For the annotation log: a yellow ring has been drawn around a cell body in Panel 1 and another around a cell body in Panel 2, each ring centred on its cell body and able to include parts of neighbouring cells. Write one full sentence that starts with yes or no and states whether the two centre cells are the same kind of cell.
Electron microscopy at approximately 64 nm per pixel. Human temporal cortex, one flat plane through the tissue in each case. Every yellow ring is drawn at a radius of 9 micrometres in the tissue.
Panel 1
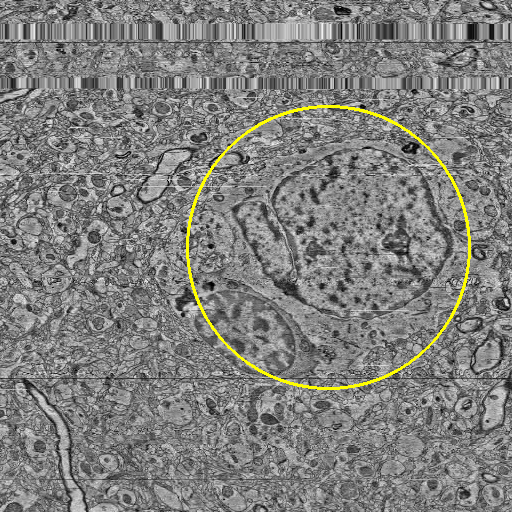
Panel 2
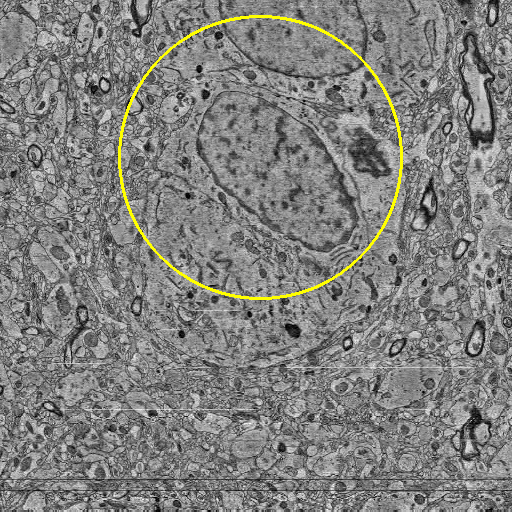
Yes, the two centre cells are the same kind of cell.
